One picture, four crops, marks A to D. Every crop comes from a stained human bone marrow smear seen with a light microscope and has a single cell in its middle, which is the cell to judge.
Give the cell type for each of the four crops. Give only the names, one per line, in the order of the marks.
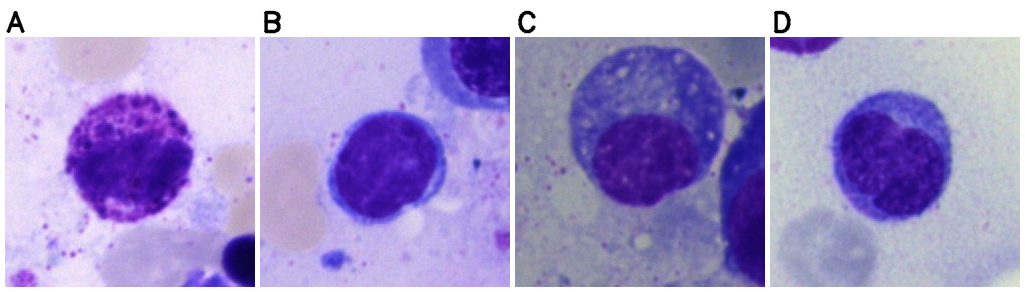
basophil
lymphocyte
plasma cell
monocyte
